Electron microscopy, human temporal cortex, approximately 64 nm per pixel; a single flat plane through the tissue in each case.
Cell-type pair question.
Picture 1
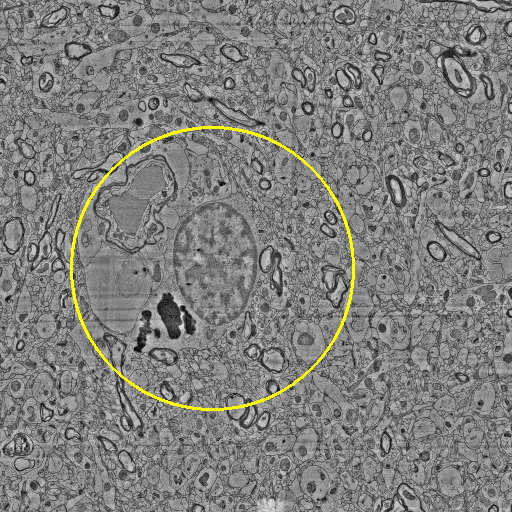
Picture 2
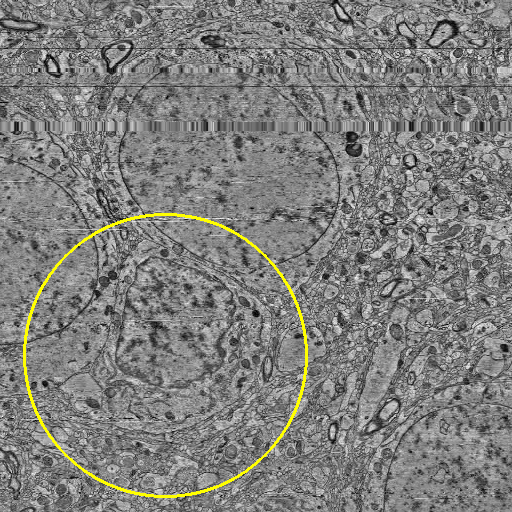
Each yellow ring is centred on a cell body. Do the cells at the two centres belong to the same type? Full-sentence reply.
No, the two cells belong to two types.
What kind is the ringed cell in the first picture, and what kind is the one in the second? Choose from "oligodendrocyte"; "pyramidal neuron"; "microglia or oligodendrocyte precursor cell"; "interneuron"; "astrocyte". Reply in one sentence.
The first cell is an oligodendrocyte; the second is an interneuron.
